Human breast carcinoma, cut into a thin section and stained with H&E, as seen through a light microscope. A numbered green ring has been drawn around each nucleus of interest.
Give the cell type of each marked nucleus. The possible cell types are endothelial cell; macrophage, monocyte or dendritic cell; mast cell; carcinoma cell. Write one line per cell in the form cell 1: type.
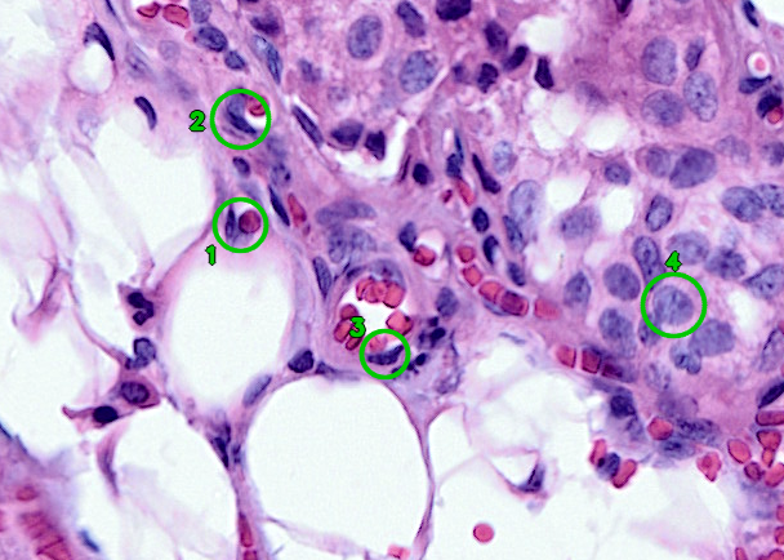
cell 1: endothelial cell
cell 2: endothelial cell
cell 3: endothelial cell
cell 4: carcinoma cell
